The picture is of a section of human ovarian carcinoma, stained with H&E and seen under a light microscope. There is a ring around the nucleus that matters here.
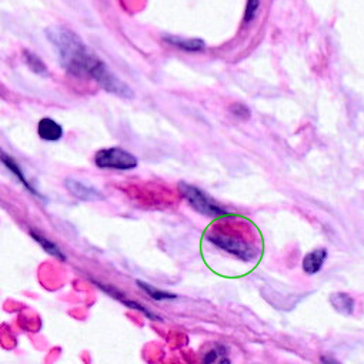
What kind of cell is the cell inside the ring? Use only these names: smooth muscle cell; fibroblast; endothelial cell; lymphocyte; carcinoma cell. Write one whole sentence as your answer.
For cell typing purposes, the cell inside the ring is an endothelial cell.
